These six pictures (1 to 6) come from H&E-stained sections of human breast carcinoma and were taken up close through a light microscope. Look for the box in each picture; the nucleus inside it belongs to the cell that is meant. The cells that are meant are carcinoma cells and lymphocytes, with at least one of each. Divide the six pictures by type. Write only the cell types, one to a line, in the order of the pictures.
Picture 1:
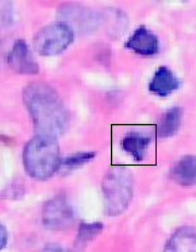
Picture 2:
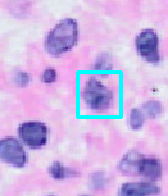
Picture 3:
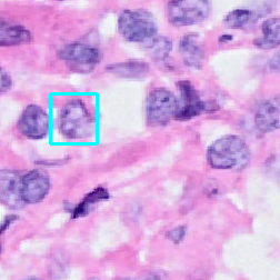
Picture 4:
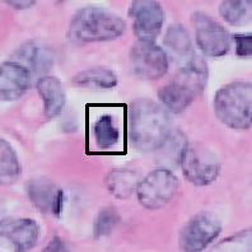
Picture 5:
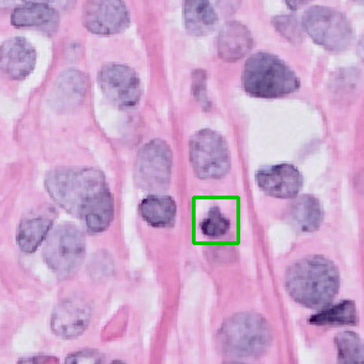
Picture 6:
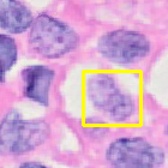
lymphocyte
lymphocyte
carcinoma cell
lymphocyte
lymphocyte
carcinoma cell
